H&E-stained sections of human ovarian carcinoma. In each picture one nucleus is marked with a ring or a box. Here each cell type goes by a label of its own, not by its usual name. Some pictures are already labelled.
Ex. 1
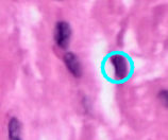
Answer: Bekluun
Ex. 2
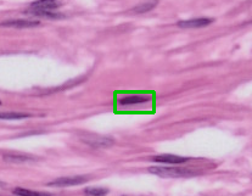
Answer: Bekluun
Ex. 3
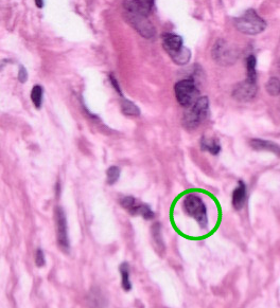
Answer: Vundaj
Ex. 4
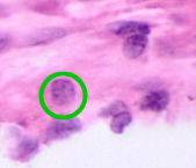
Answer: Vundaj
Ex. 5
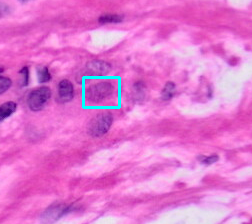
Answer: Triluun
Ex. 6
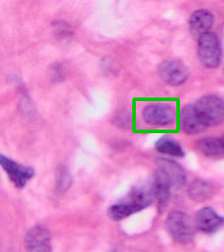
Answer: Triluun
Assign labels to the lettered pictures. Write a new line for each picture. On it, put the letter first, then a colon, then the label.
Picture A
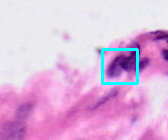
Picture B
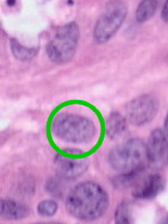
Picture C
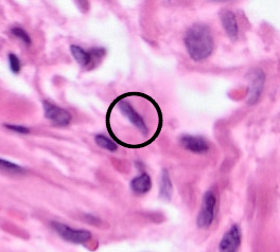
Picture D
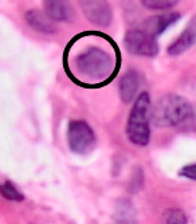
A: Vundaj
B: Triluun
C: Bekluun
D: Triluun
